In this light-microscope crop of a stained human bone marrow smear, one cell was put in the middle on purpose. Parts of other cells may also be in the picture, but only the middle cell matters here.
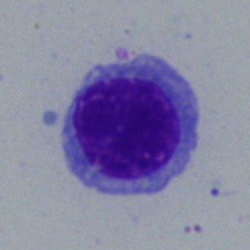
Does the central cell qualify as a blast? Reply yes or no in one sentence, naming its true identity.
No, in the middle of the crop there is an erythroblast rather than a blast.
